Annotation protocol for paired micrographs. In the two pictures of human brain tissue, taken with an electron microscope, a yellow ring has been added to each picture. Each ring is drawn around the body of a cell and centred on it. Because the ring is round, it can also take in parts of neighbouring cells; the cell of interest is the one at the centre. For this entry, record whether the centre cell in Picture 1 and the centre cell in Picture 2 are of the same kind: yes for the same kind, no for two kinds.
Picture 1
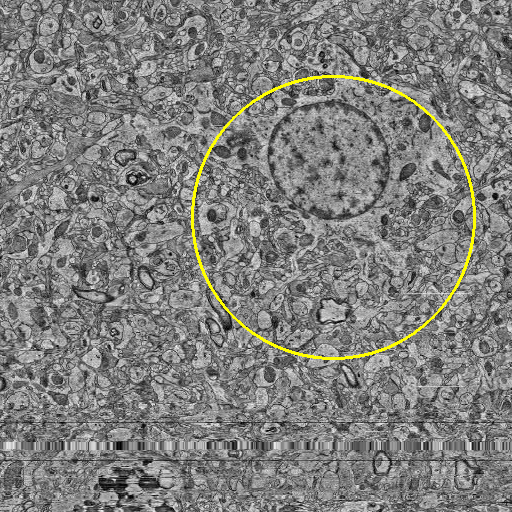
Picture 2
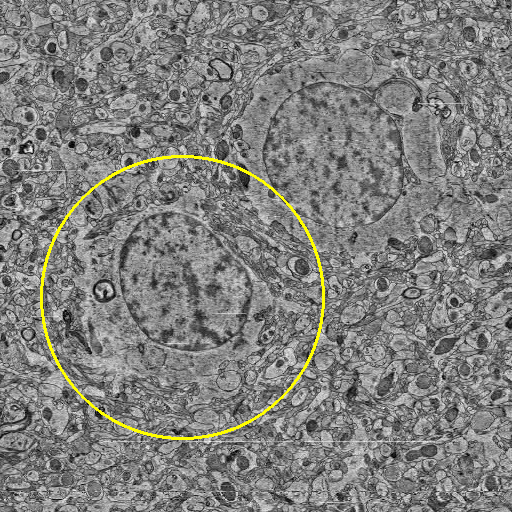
yes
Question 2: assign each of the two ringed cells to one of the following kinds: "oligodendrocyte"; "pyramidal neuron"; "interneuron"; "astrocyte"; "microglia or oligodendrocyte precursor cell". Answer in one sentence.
Each of the two cells is an astrocyte.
